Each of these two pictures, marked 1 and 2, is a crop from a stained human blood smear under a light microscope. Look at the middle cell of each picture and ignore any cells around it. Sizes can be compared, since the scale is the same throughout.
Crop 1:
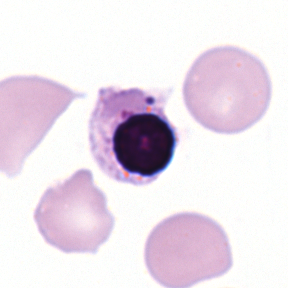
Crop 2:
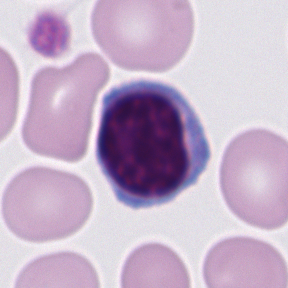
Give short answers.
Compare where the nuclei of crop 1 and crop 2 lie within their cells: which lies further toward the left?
2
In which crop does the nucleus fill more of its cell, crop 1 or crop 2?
2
